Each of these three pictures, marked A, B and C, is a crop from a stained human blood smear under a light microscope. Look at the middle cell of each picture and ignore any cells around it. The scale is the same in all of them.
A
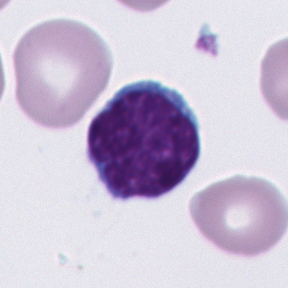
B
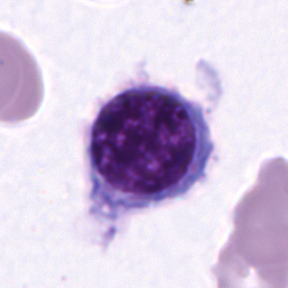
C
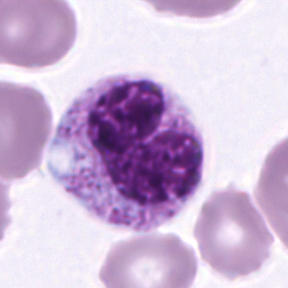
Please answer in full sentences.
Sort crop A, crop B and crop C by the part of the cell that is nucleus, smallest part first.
They run C, B, A, the least filled first.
